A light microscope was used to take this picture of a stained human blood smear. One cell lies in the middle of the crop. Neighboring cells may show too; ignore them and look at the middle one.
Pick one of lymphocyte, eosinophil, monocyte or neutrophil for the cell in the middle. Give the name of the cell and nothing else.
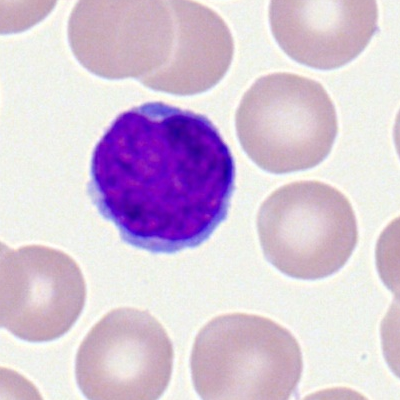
lymphocyte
